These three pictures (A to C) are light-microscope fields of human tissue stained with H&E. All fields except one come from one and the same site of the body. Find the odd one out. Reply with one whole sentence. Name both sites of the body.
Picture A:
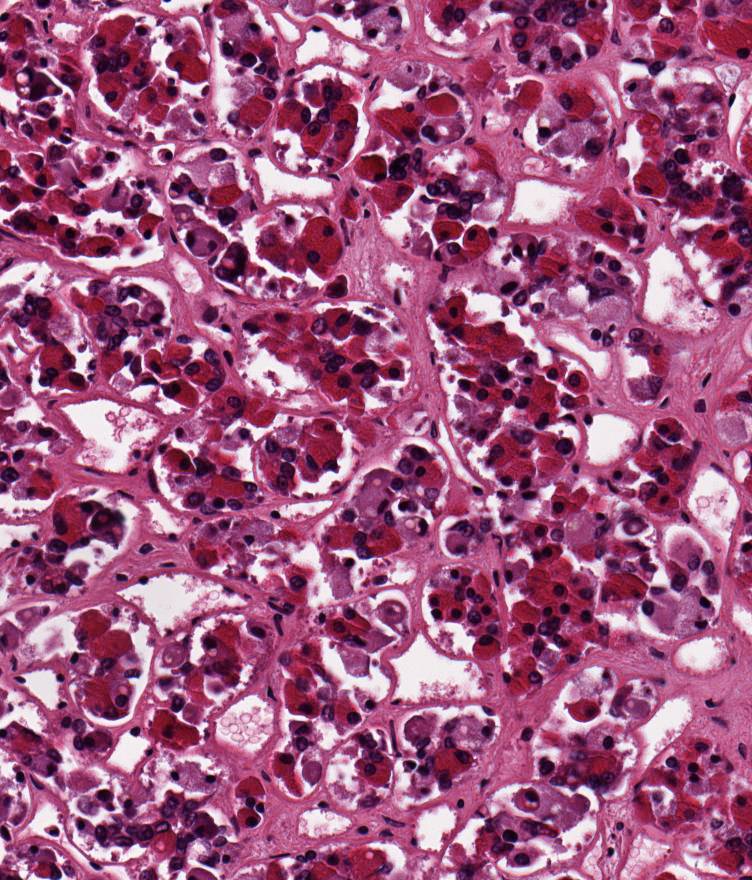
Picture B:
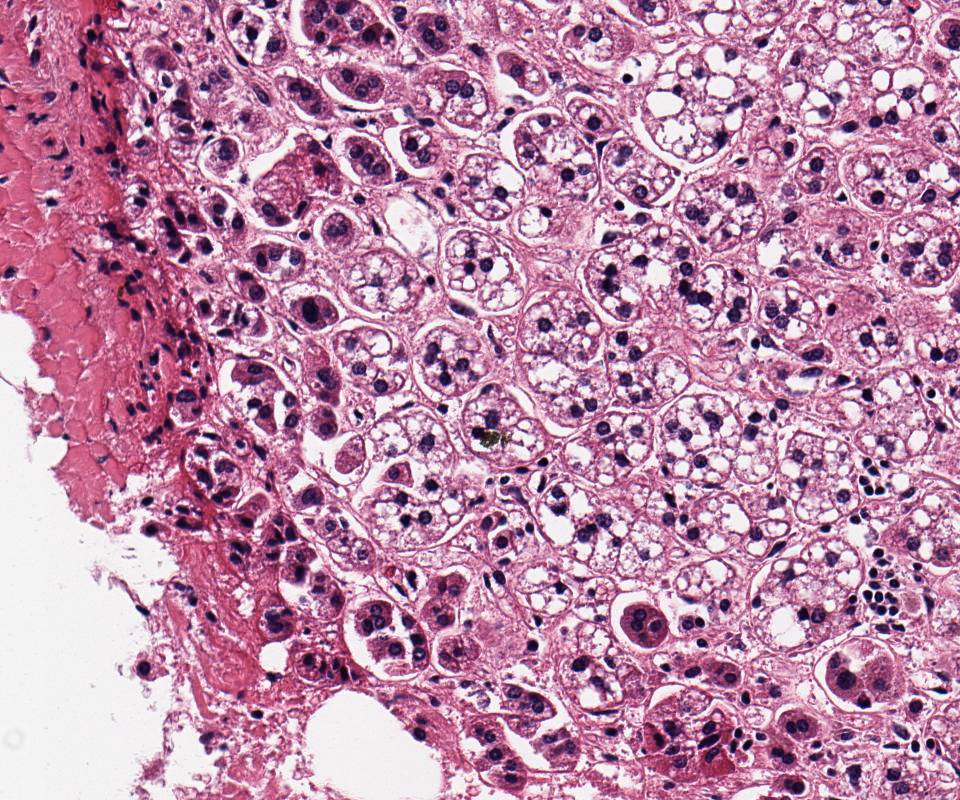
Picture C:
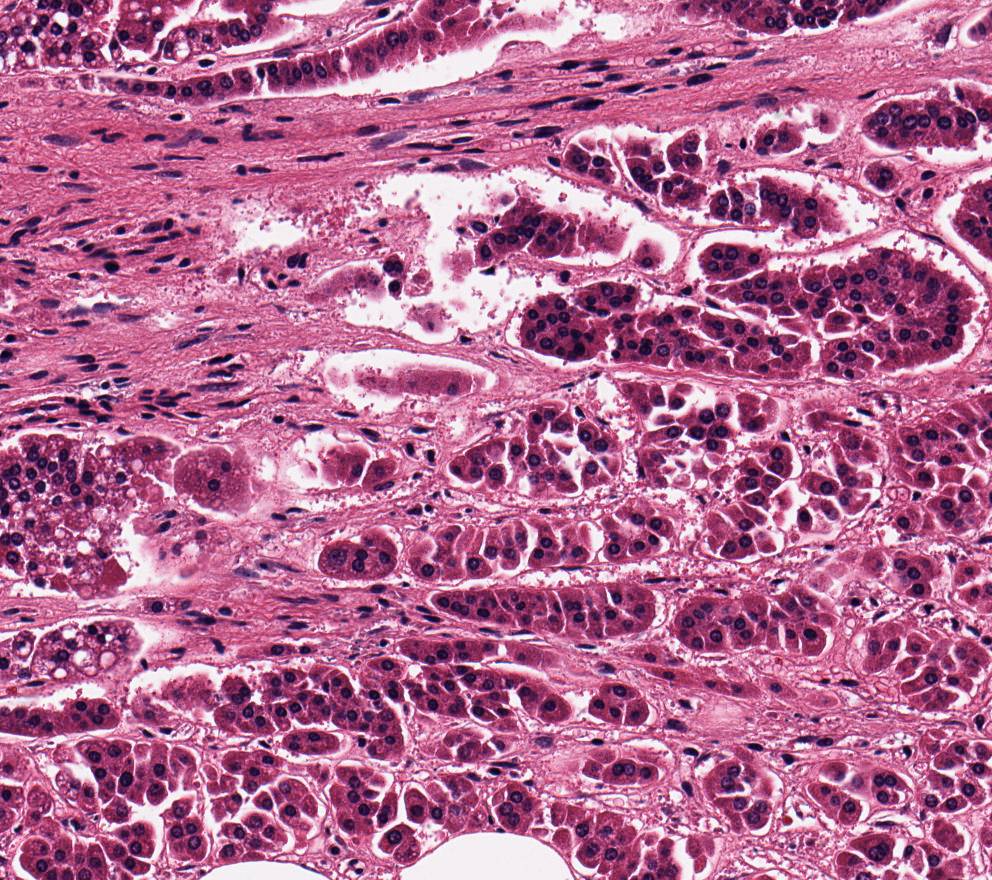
Unlike the rest, which come from the adrenal gland, picture A comes from the pituitary.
